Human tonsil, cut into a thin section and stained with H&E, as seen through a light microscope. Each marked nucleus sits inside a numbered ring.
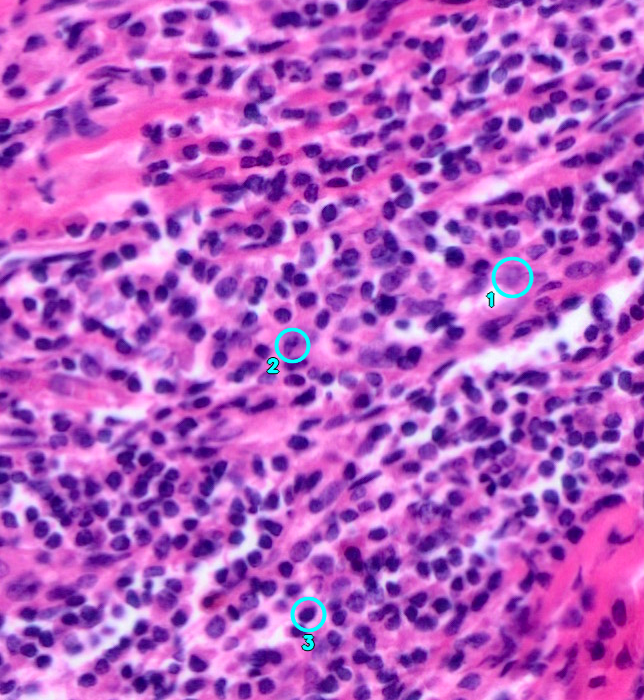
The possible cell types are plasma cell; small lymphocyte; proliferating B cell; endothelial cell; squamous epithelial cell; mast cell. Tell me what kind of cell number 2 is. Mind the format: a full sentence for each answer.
The label 2 in this section denotes an endothelial cell.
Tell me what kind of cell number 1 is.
Identified by the number 1, the cell is an endothelial cell.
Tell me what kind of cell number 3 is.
Among the marked nuclei, number 3 belongs to a small lymphocyte.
